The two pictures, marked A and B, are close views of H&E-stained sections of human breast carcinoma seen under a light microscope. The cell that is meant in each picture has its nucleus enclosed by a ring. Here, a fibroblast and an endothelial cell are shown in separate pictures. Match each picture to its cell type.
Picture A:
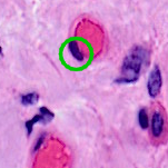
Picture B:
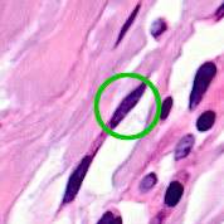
A: endothelial cell
B: fibroblast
